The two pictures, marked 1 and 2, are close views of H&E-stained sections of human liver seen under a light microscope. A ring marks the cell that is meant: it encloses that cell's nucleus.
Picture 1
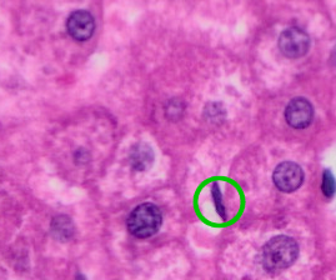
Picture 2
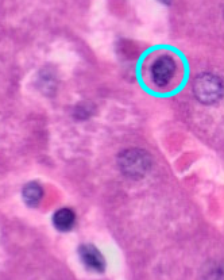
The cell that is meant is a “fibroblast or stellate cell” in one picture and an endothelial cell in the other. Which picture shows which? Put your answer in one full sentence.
Picture 1 shows an endothelial cell and picture 2 shows a “fibroblast or stellate cell”.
